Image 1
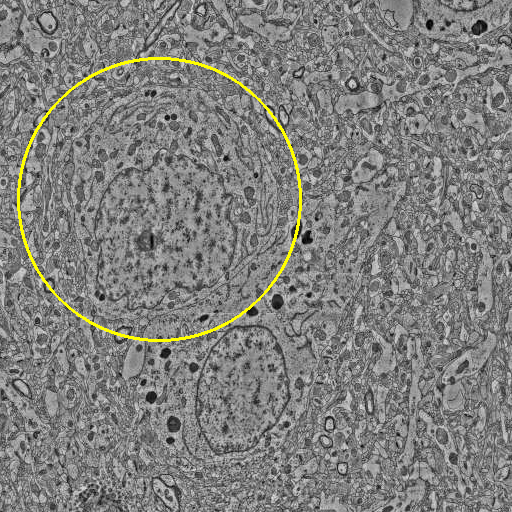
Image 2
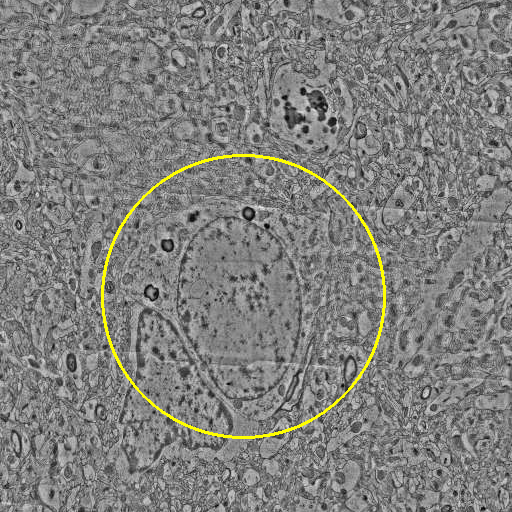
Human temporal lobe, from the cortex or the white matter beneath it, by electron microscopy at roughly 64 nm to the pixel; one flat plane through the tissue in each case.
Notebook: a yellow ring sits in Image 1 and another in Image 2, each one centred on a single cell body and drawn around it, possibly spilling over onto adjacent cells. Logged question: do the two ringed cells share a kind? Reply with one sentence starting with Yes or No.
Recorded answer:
No, the centre cells inside the rings of Image 1 and Image 2 are of two kinds.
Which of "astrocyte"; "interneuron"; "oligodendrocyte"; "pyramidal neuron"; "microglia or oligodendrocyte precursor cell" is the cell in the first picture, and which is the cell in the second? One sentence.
The two differ: the first cell is an interneuron and the second is a pyramidal neuron.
